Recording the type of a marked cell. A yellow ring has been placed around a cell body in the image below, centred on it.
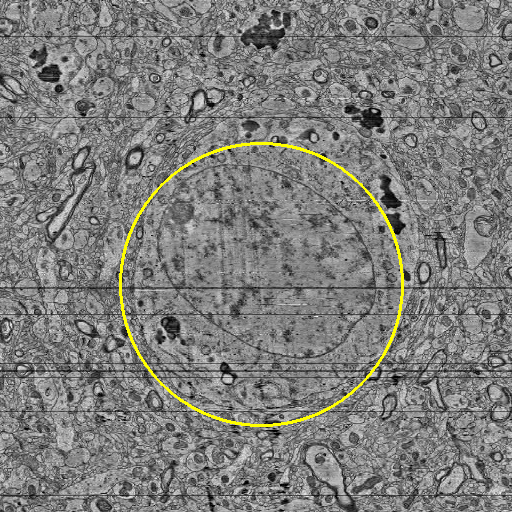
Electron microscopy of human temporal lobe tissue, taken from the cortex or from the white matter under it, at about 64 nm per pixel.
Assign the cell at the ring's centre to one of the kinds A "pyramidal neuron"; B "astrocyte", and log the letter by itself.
A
